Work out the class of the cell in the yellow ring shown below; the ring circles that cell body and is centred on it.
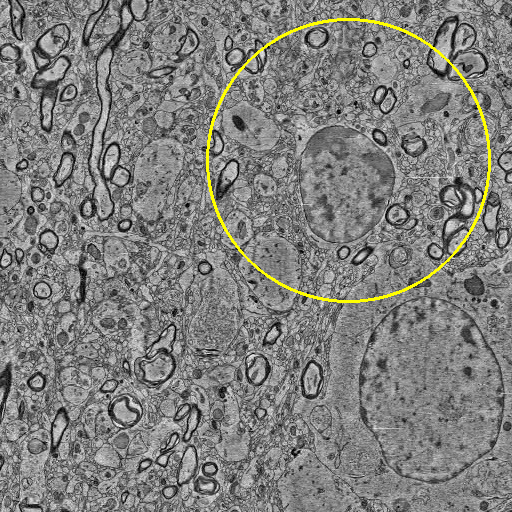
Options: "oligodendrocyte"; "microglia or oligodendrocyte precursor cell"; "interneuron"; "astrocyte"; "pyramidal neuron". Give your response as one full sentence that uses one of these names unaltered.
The body ringed in yellow, right at the ring's centre, is that of a microglial cell or oligodendrocyte precursor cell.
